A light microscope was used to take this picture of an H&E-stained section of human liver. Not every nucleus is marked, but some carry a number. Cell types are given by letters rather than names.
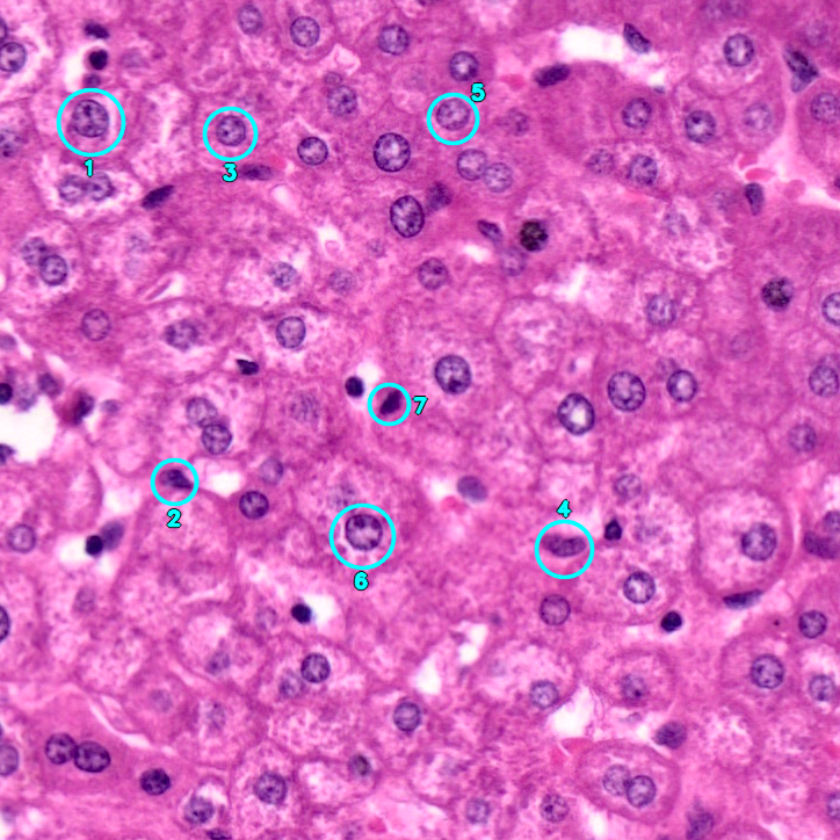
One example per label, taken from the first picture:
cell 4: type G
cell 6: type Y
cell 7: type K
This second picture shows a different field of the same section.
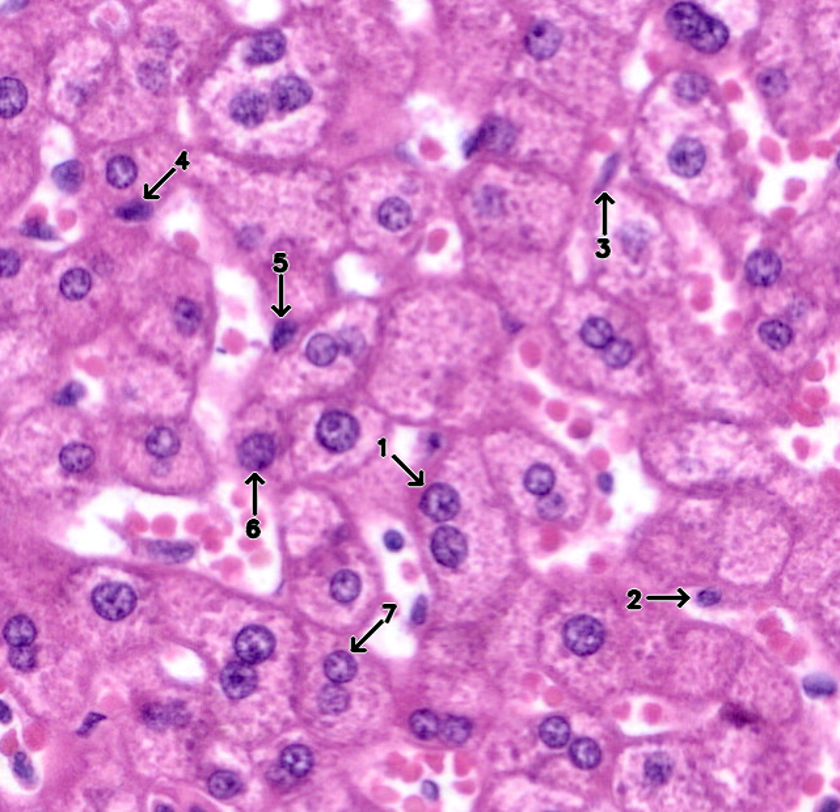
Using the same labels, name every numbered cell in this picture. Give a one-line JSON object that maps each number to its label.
{"1": "type Y", "2": "type G", "3": "type G", "4": "type K", "5": "type K", "6": "type Y", "7": "type Y"}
